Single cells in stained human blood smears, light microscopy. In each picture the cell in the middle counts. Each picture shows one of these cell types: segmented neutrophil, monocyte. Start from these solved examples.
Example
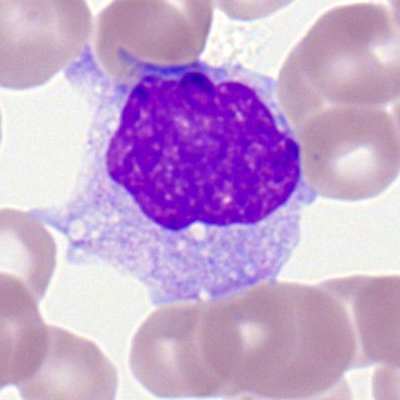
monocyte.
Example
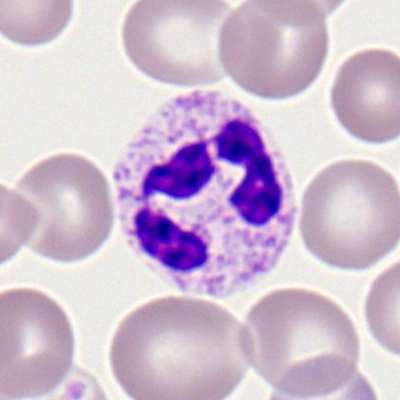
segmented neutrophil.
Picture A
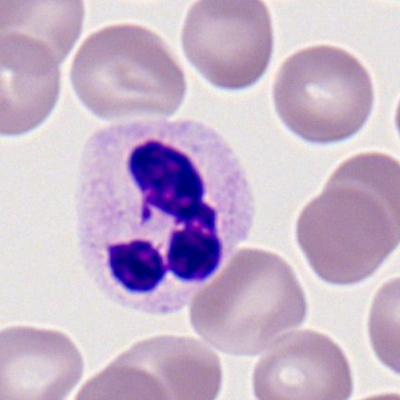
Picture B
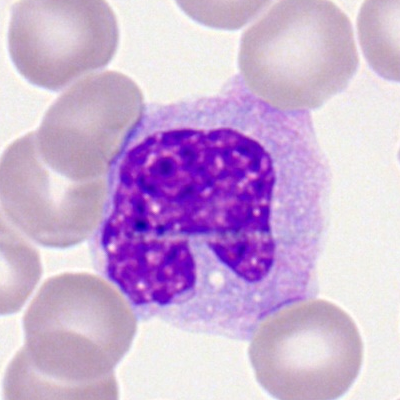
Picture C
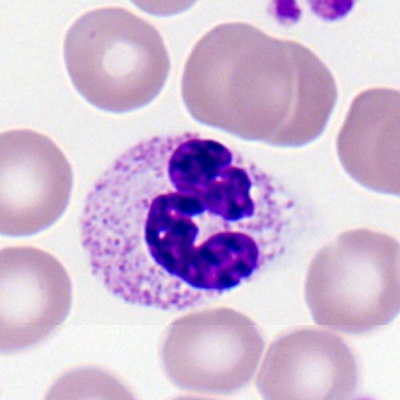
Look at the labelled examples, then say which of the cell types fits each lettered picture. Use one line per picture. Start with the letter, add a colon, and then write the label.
A: segmented neutrophil.
B: monocyte.
C: segmented neutrophil.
